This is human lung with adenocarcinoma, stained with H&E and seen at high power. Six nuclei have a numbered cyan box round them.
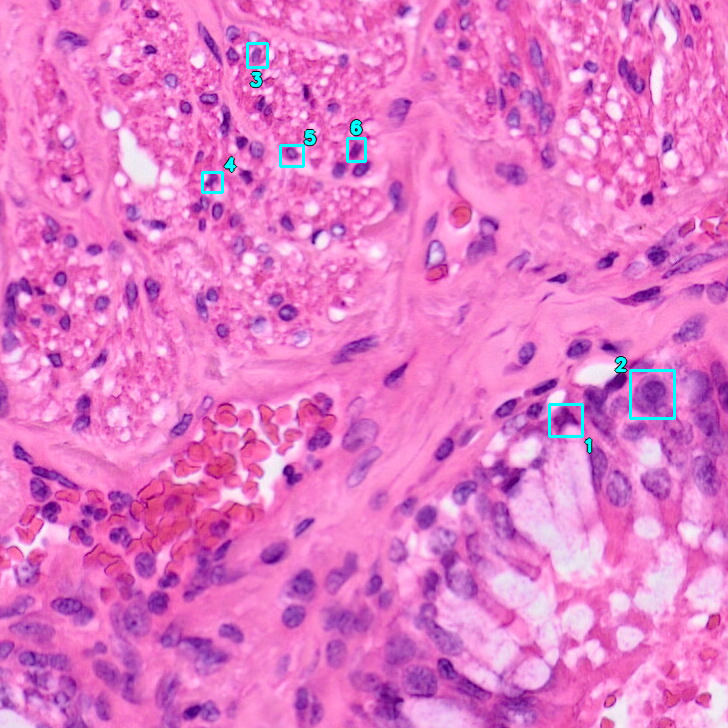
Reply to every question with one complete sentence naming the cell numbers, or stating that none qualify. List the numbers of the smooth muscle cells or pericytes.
The cells given the numbers 3, 4, 5 and 6 are smooth muscle cells or pericytes.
